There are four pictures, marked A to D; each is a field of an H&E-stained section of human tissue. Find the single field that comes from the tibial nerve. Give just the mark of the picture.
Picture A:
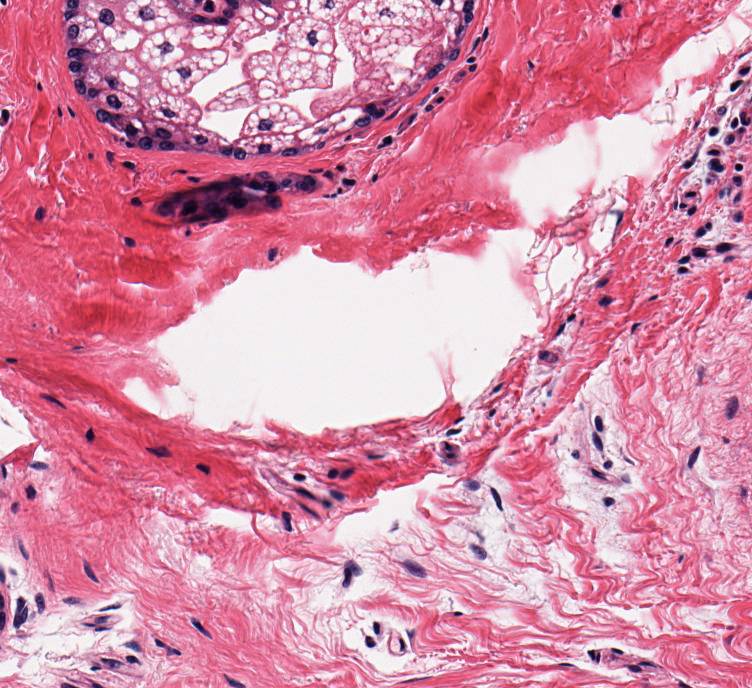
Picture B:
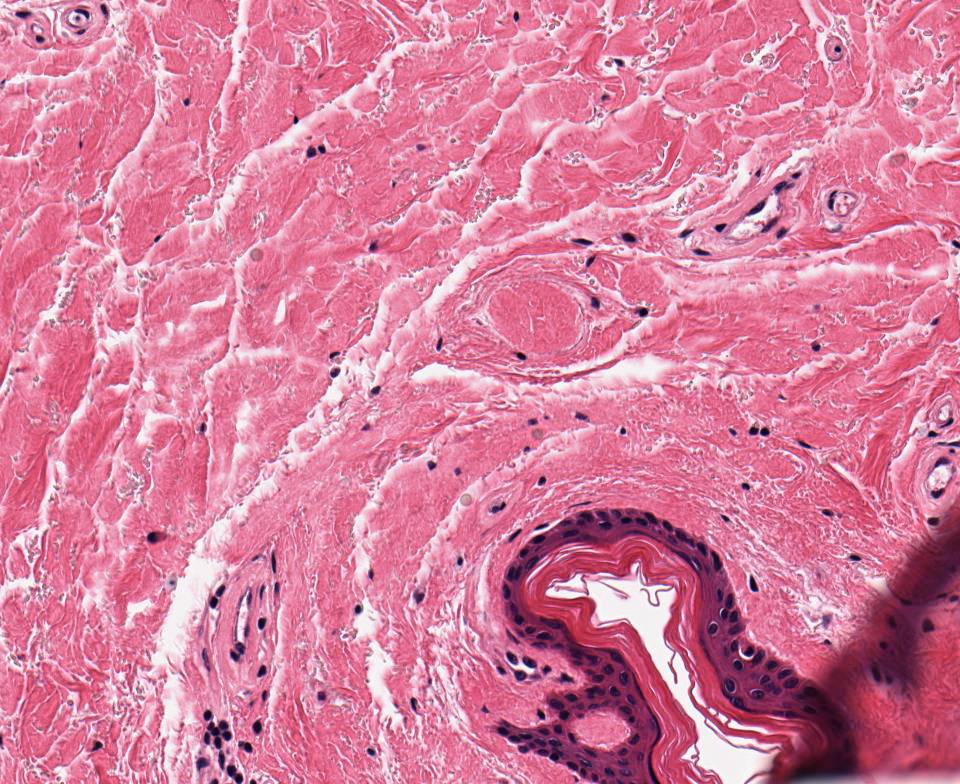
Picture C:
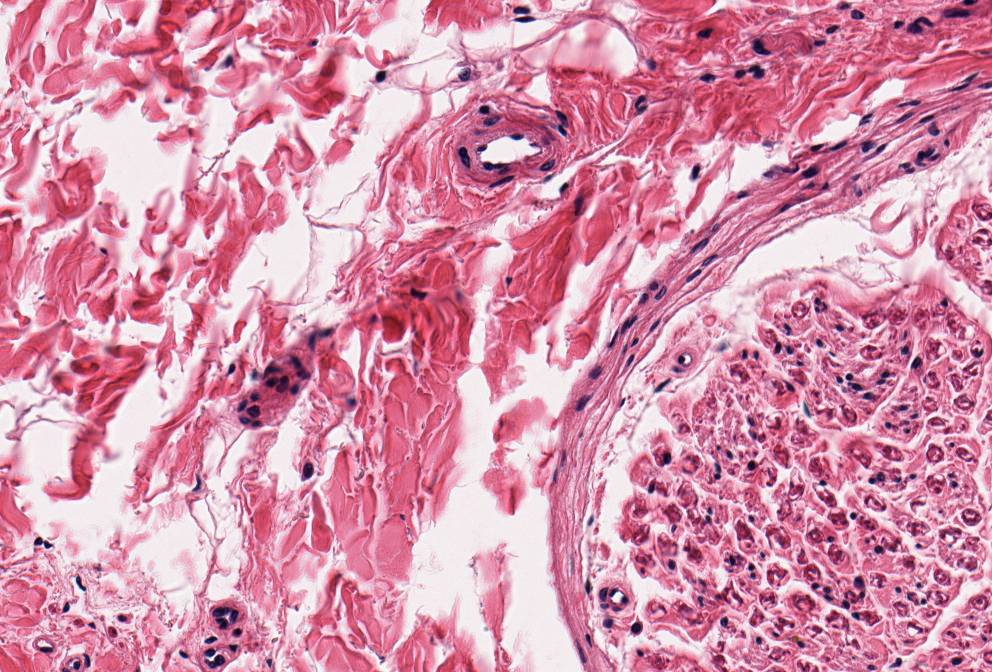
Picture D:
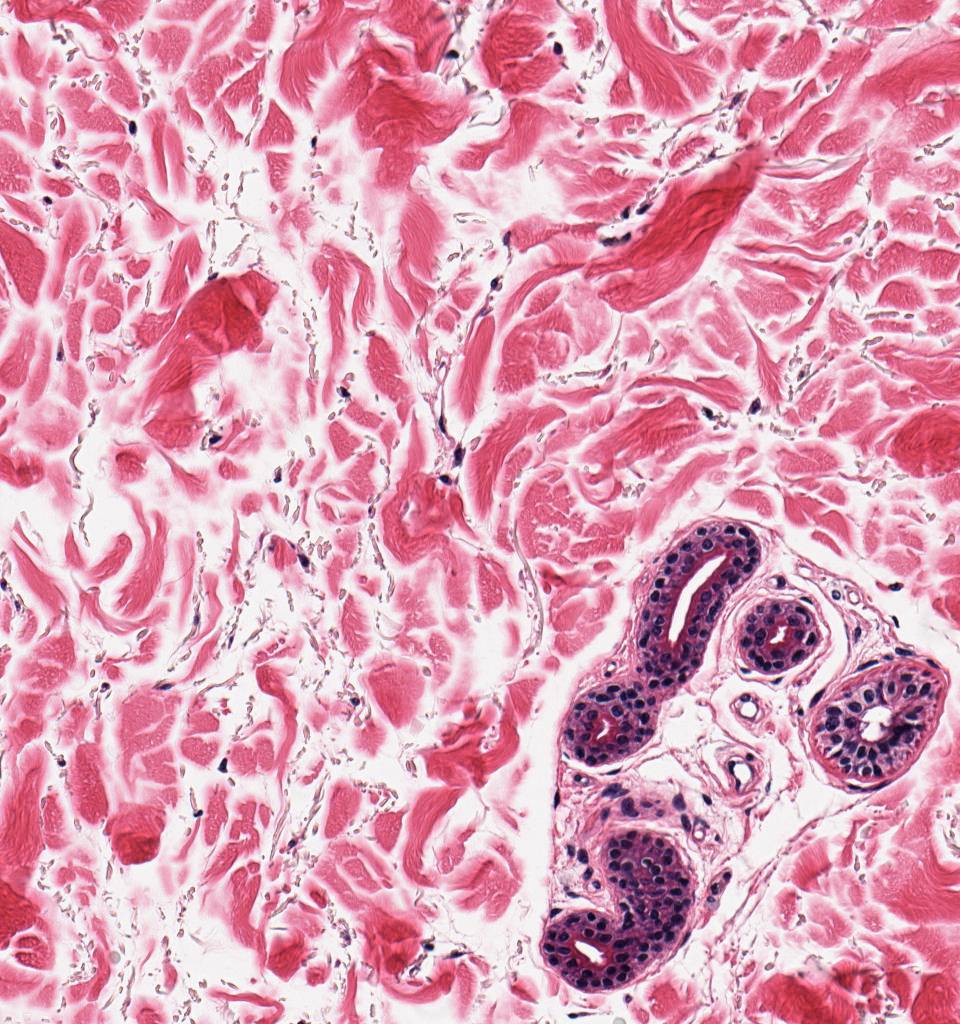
C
